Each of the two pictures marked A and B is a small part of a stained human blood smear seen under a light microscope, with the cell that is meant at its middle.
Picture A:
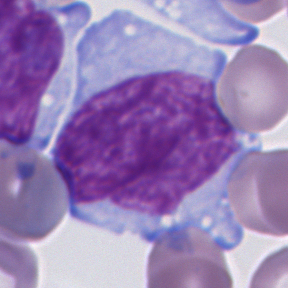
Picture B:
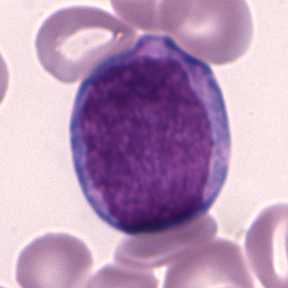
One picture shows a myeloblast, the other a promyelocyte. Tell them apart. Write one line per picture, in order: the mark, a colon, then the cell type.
A: myeloblast
B: promyelocyte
